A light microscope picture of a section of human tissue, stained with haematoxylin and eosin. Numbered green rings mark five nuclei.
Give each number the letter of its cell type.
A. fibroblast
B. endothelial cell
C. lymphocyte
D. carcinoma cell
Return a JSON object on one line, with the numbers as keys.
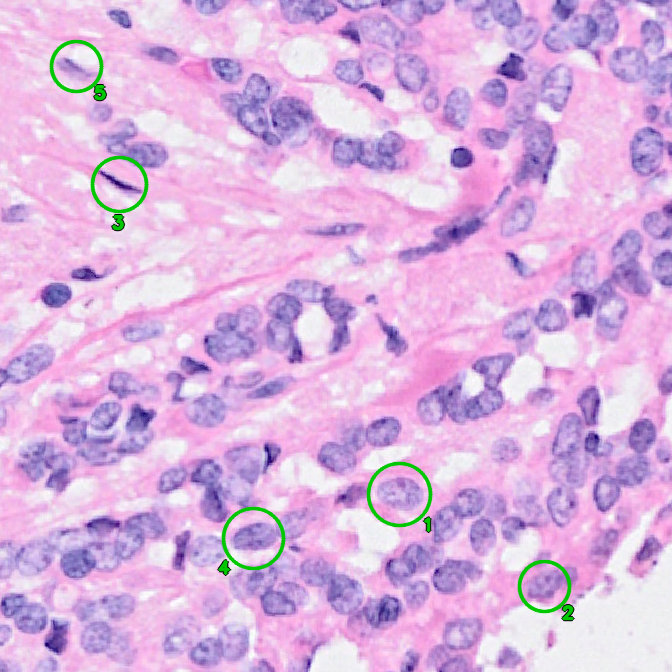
{"1": "D", "2": "D", "3": "A", "4": "D", "5": "A"}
